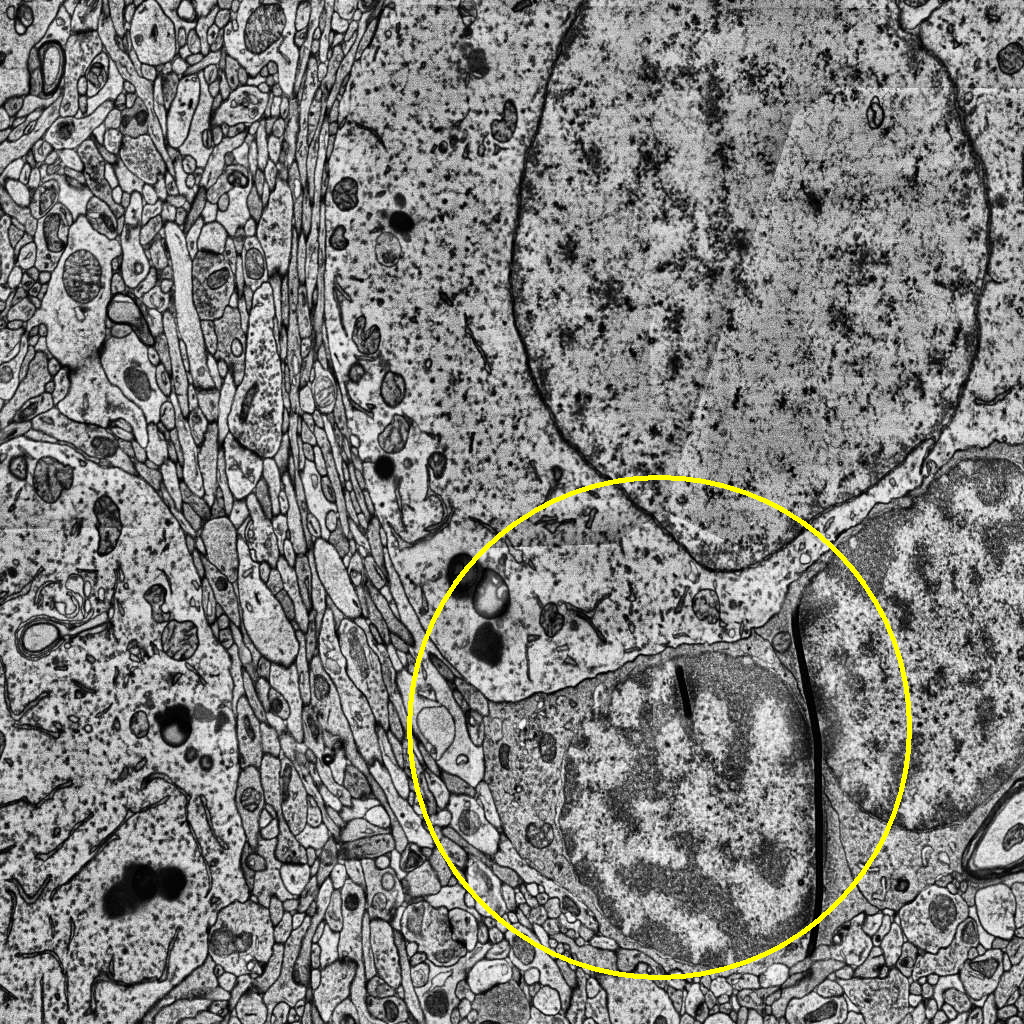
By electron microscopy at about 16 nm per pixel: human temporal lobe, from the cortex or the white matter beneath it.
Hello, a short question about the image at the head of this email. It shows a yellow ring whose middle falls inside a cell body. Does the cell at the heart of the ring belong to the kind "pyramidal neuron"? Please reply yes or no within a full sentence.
No, the cell at the heart of the ring in that image is of a different kind.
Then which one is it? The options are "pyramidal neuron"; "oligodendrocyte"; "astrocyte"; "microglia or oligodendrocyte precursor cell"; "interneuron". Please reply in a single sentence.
Instead, the cell at the centre of the yellow ring is an oligodendrocyte.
